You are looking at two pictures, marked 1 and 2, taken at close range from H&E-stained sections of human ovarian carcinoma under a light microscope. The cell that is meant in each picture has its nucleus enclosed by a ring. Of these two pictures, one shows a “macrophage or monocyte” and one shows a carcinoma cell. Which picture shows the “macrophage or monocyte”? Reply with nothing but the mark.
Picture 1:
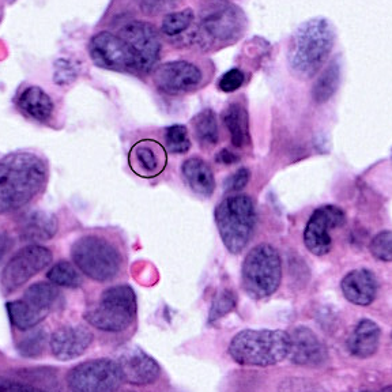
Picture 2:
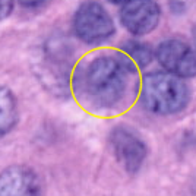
1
